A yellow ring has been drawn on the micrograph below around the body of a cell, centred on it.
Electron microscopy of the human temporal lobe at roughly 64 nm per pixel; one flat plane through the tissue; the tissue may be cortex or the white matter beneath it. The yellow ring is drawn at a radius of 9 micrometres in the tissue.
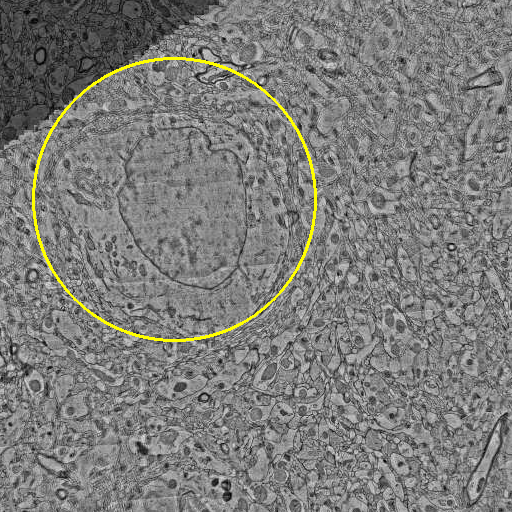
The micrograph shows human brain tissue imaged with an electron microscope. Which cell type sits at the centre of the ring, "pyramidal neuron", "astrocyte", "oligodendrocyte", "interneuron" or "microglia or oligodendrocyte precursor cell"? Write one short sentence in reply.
The cell sitting at the centre of the ring is a pyramidal neuron.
